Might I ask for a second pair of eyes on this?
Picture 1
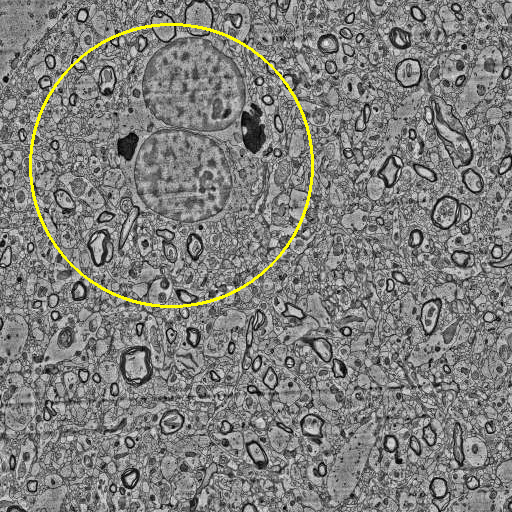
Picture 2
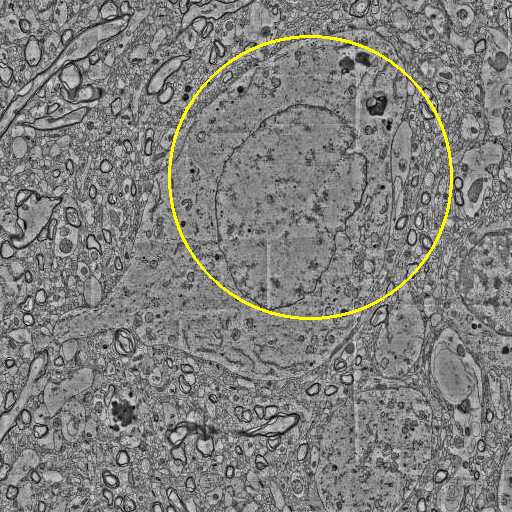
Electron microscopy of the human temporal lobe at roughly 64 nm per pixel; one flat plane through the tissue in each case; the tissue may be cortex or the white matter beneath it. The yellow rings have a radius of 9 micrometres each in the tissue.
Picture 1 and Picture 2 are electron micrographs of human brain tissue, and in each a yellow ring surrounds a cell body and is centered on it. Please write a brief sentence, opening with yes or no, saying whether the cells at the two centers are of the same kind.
No, the cells are of two kinds.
